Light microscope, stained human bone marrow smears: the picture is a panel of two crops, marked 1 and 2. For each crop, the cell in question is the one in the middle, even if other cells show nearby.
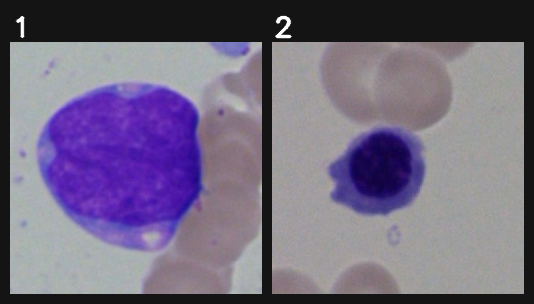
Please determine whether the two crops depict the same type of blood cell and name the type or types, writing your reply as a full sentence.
No, crop 1 shows a blast and crop 2 shows a normoblast.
